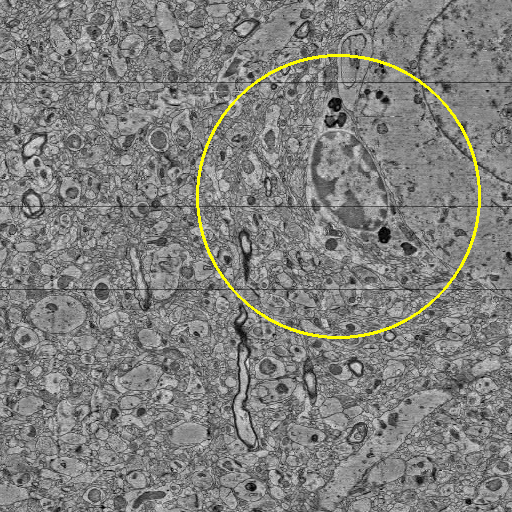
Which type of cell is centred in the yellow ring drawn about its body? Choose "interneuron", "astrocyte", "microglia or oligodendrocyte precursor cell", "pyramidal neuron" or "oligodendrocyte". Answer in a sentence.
The yellow ring surrounds the cell body of a microglial cell or oligodendrocyte precursor cell.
